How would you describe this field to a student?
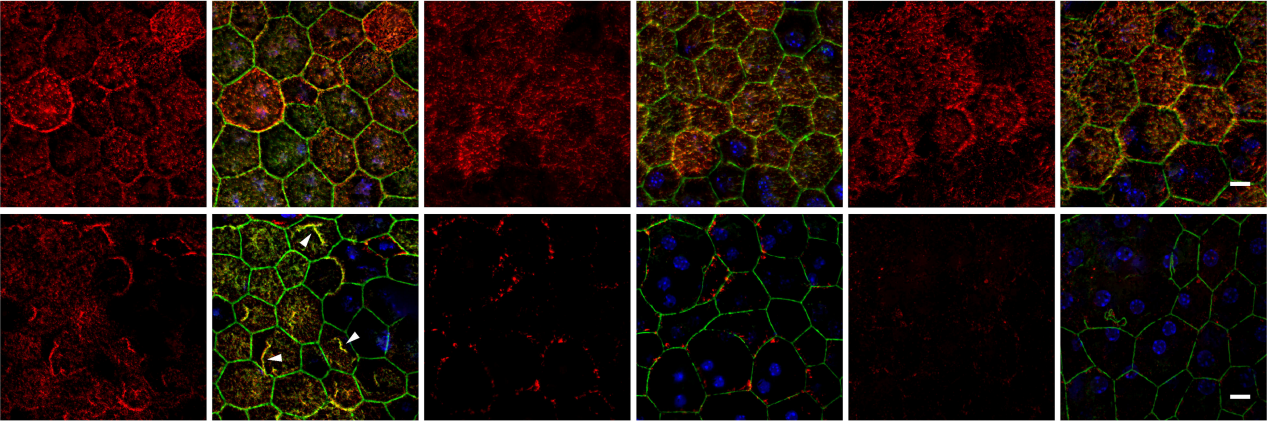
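These are en face views of a flat-mounted epithelial sheet made of polygonal, mostly hexagonal cells fitted tightly together like a honeycomb. Thin green lines trace every cell border, and blue nuclei, often two per cell, lie inside the outlines. In the lower row the red stain is patchy and thickened along parts of some cell borders in the first images, where white arrowheads point to these clumps. In the later images of the lower row the red is confined to small scattered dots near the borders and then almost disappears.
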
